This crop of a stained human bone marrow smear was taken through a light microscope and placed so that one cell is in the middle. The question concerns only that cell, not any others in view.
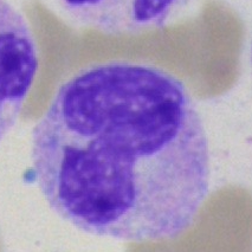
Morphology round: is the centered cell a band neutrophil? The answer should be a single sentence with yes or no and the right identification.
Yes, as regards the cell in the middle, it is a band neutrophil.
